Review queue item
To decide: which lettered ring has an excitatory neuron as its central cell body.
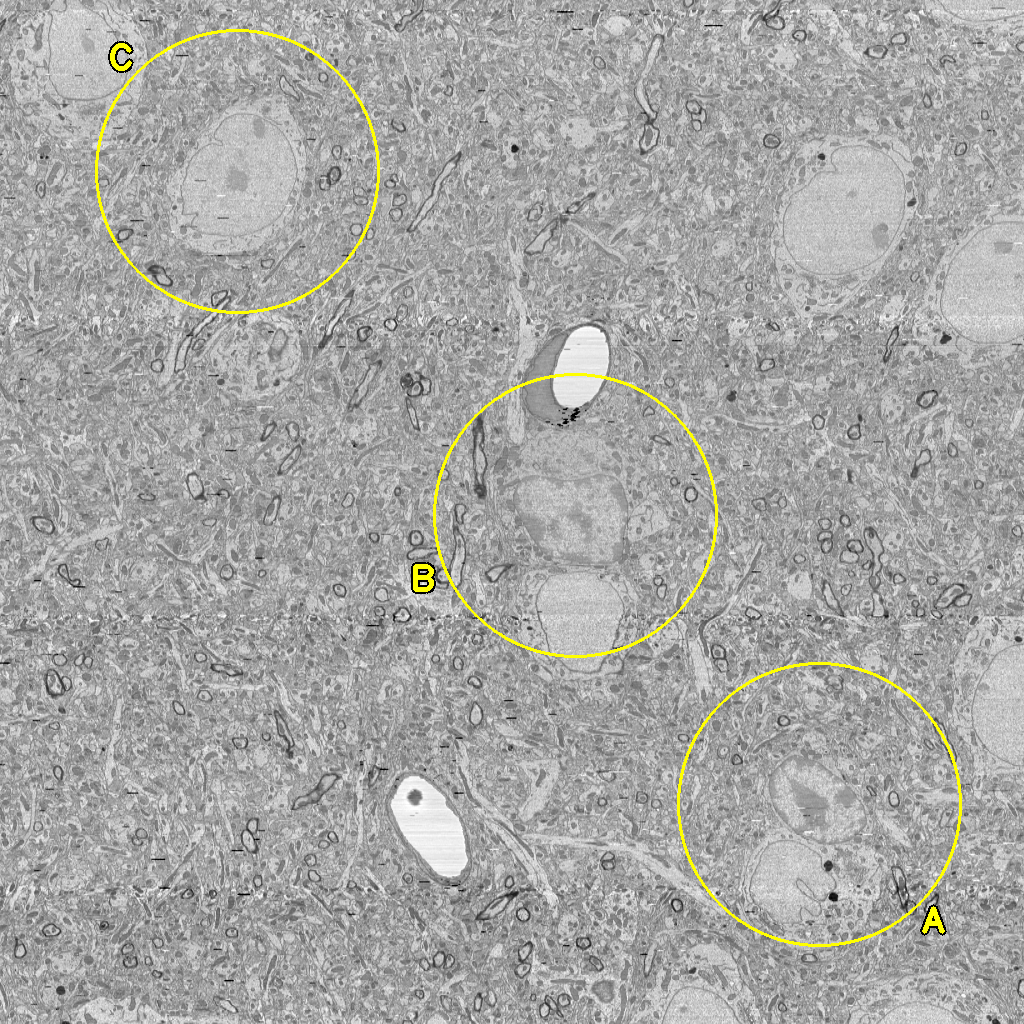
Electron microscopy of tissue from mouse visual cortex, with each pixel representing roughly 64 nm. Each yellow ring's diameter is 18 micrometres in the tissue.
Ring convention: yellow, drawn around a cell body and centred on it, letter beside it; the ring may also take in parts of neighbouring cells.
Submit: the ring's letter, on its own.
C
